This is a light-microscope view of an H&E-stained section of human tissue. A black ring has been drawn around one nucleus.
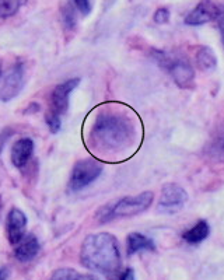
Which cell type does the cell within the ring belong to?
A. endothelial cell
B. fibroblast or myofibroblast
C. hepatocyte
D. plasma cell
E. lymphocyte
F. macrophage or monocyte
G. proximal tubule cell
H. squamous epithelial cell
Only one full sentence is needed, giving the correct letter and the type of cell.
On this slide, the cell within the ring is a macrophage or monocyte, so option F is right.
